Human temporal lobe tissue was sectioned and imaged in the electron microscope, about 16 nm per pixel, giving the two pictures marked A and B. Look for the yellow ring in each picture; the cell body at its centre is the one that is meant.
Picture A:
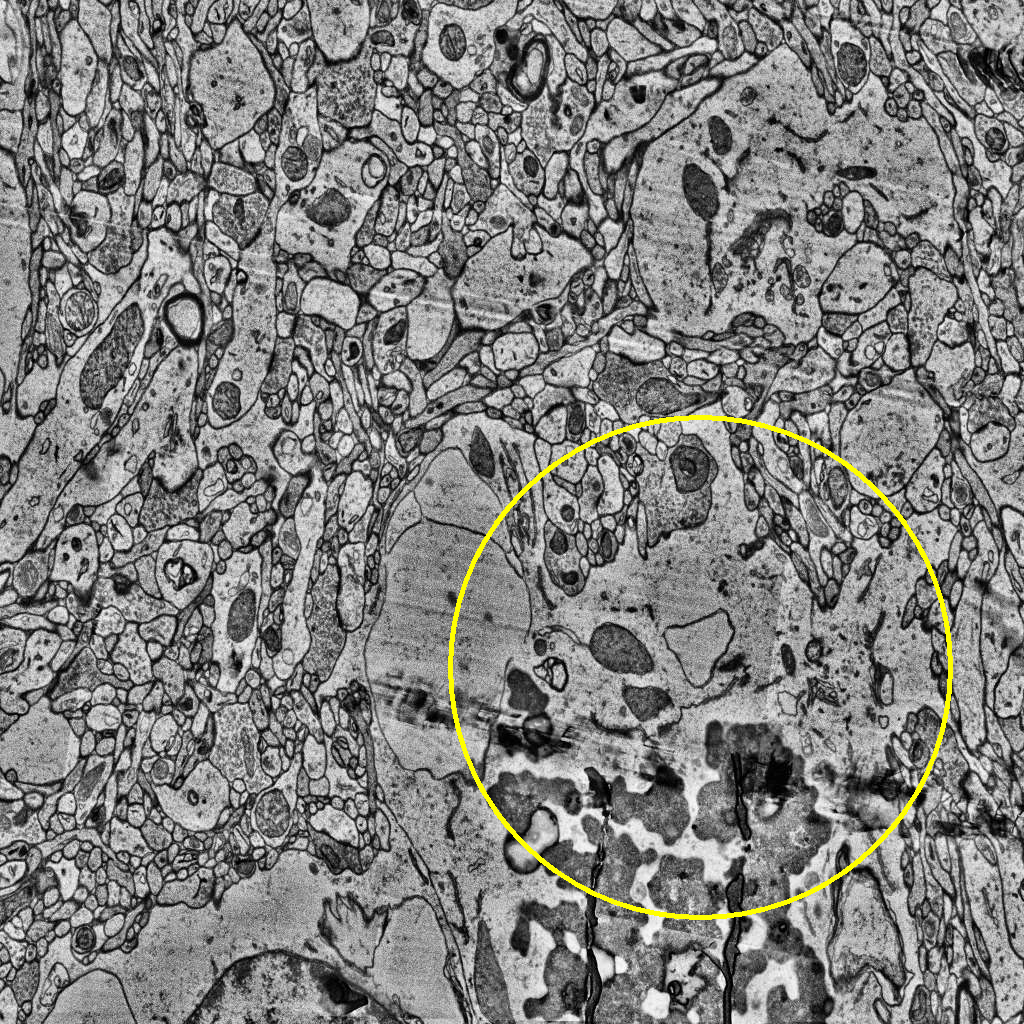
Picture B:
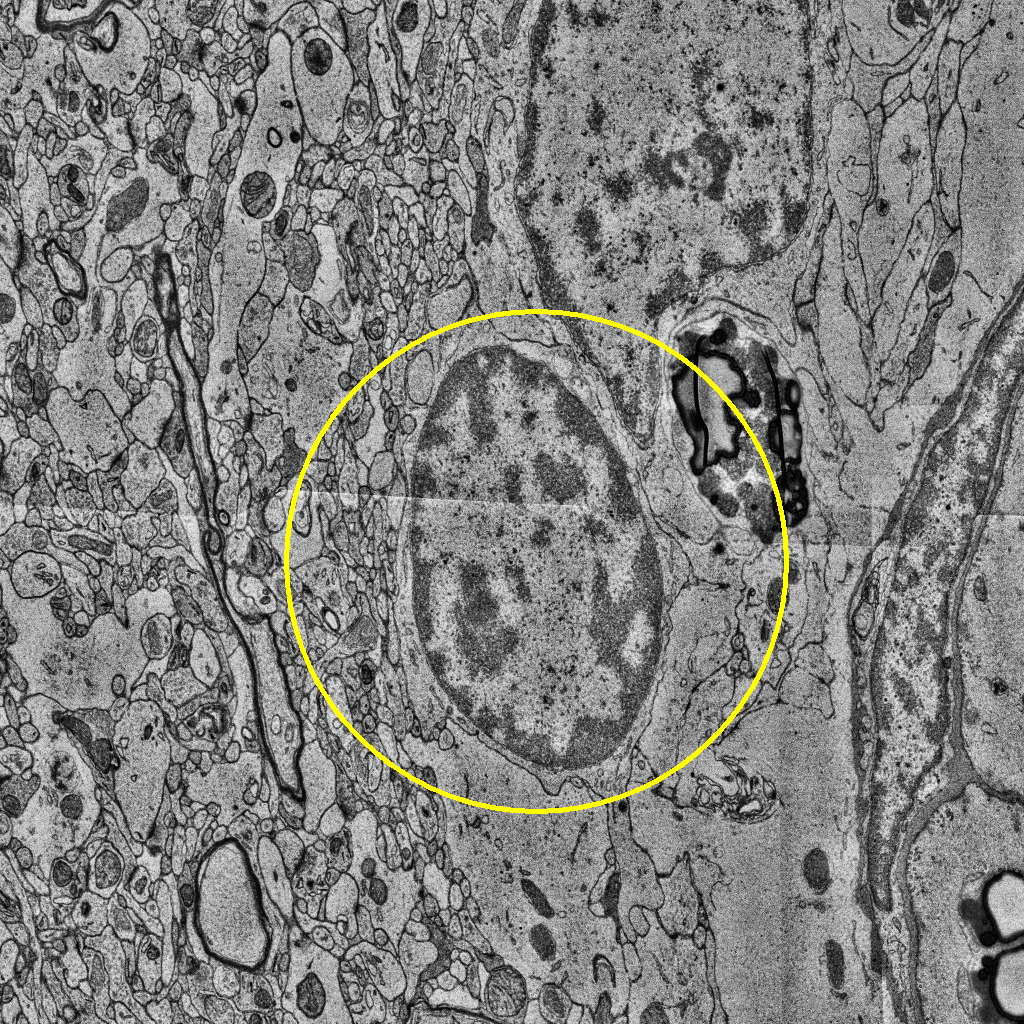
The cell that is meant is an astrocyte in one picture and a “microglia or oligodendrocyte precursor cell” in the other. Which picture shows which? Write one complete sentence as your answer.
In picture A the cell is an astrocyte; in picture B, a “microglia or oligodendrocyte precursor cell”.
